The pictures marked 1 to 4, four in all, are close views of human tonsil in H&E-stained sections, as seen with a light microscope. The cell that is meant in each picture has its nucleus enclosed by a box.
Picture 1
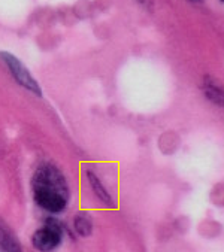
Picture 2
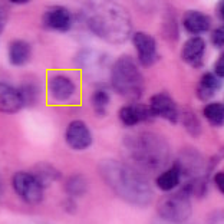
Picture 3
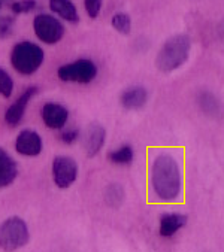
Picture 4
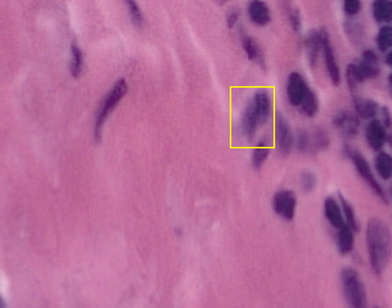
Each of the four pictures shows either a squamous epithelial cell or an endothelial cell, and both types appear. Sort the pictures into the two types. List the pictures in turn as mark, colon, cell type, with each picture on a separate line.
1: endothelial cell
2: endothelial cell
3: squamous epithelial cell
4: endothelial cell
